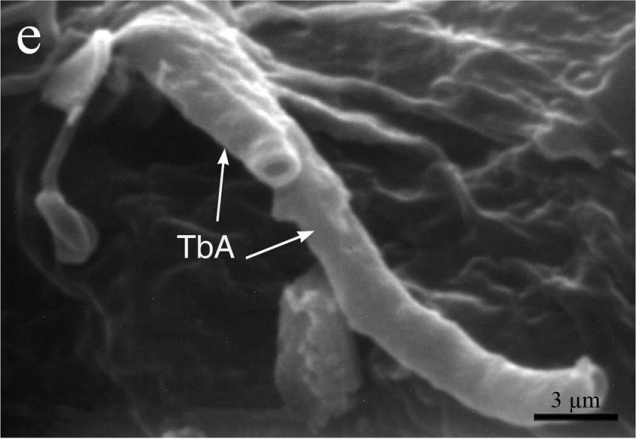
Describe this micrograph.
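A long, cylindrical, slightly curved tube rises from the body surface, its wall finely wrinkled, with an open, ring-like rim at its free end. A second, thinner and shorter tube lies beside it, ending in a small swollen tip.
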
